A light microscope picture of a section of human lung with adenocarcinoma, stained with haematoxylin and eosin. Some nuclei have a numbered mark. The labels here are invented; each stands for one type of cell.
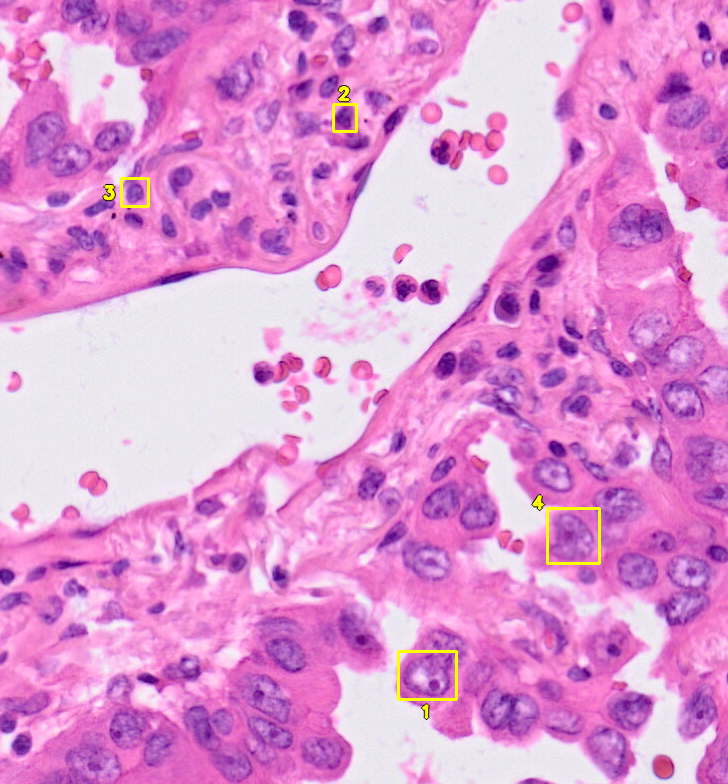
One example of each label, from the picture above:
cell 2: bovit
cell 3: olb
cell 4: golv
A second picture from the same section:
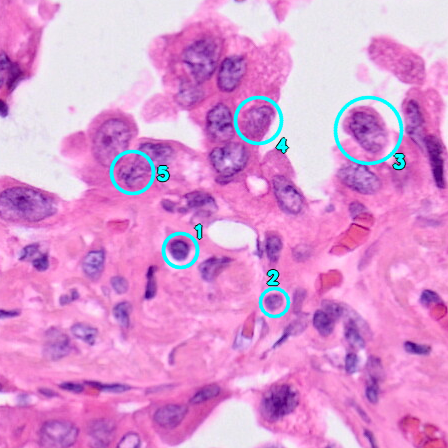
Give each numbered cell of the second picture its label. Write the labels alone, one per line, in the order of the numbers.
bovit
olb
golv
golv
golv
